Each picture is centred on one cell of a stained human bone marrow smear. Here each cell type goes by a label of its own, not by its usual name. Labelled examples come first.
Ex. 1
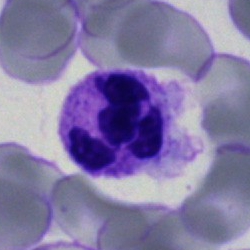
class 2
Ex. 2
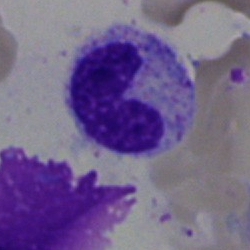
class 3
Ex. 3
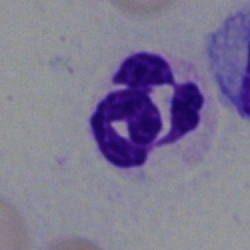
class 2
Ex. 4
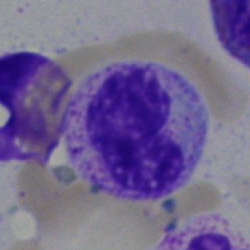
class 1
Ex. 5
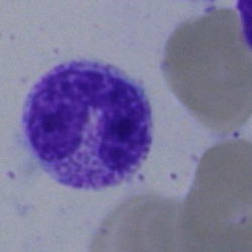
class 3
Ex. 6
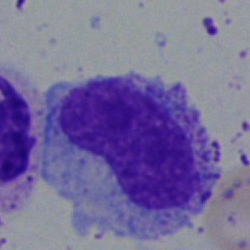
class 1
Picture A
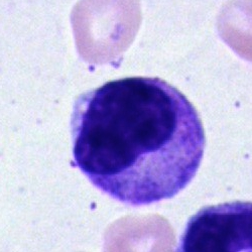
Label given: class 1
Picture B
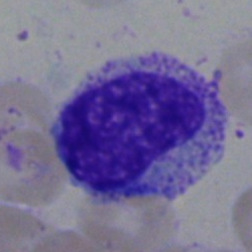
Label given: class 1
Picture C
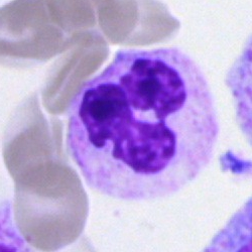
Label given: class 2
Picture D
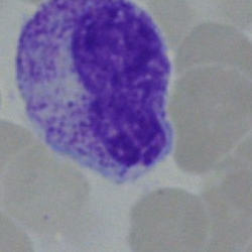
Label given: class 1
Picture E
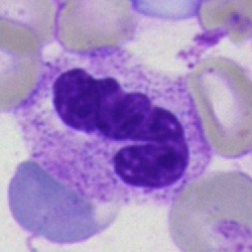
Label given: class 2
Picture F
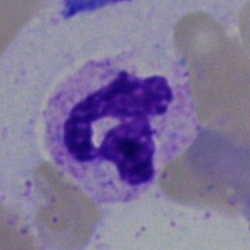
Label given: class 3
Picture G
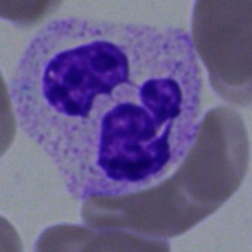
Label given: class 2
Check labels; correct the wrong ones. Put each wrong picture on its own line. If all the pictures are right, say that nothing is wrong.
F: change class 3 to class 2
